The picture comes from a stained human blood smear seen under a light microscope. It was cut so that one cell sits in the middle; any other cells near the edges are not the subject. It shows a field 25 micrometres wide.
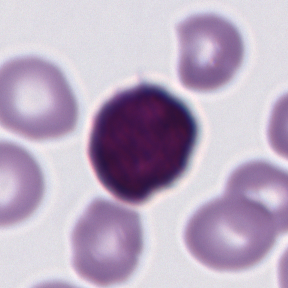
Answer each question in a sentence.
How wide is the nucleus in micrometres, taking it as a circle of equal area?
The diameter of the nucleus comes to about 9 micrometres.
